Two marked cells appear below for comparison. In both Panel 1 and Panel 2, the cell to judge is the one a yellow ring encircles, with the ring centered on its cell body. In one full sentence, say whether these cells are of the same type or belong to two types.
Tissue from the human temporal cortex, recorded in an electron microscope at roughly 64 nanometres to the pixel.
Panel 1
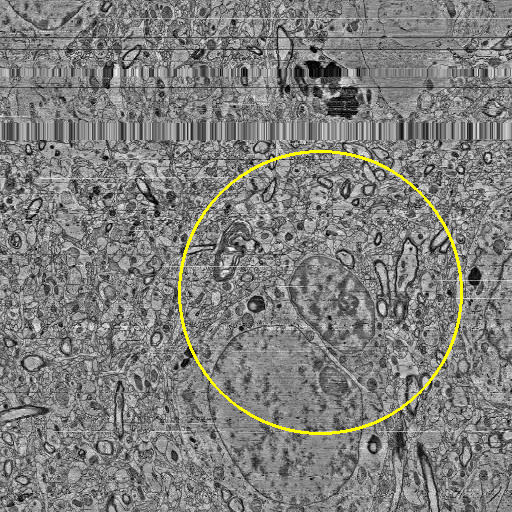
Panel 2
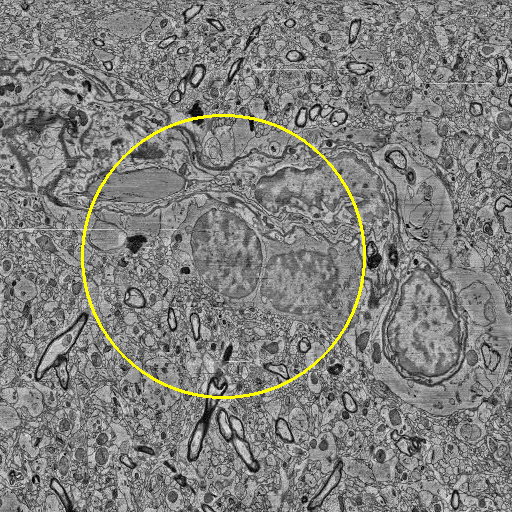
The cell centered in the Panel 1 ring and the one in Panel 2 are of the same type.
